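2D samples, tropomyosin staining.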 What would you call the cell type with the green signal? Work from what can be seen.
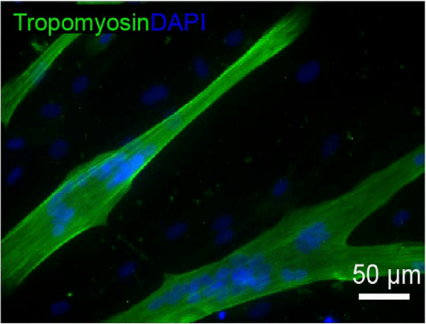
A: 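Myotubes. Long, tapering green cells cross the field. Several blue nuclei cluster inside each green cell. Single-nucleated cells lie in the dark gaps between them.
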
